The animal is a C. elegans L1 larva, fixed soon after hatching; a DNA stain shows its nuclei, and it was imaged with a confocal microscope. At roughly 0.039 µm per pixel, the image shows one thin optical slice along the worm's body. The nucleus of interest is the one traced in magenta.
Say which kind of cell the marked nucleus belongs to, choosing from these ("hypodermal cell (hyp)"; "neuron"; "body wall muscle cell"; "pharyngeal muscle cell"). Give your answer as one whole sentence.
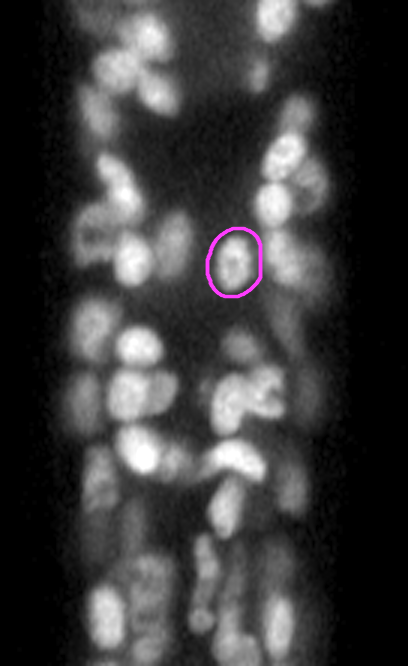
The cell with the marked nucleus is a neuron.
